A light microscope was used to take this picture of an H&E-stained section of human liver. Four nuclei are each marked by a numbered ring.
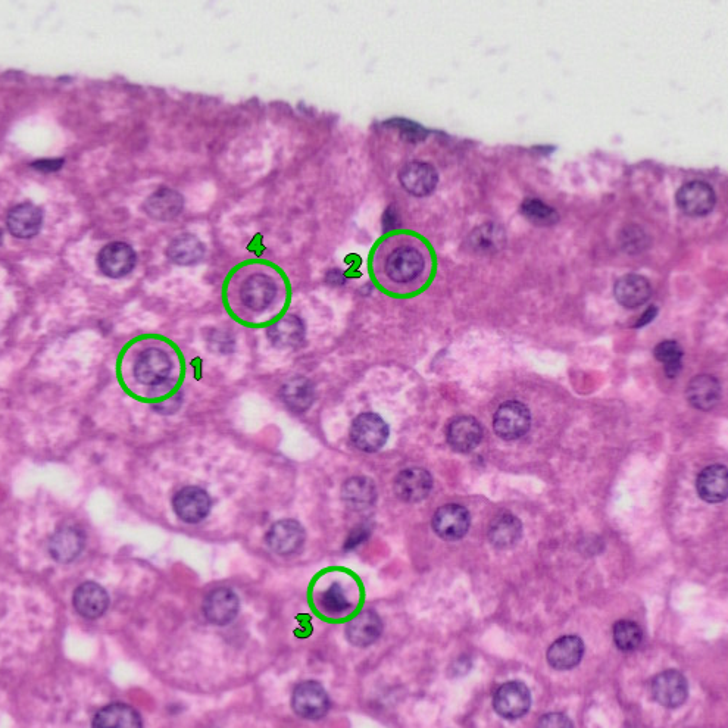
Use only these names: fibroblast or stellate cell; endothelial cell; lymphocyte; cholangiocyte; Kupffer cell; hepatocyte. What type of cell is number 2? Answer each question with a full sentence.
The cell indicated with the number 2 is classed as a hepatocyte.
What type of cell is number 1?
In the tissue shown, cell 1 is a hepatocyte.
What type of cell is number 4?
Numbered cell 4 is a hepatocyte in this tissue section.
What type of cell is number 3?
Of the numbered cells, the one labelled 3 is an endothelial cell.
